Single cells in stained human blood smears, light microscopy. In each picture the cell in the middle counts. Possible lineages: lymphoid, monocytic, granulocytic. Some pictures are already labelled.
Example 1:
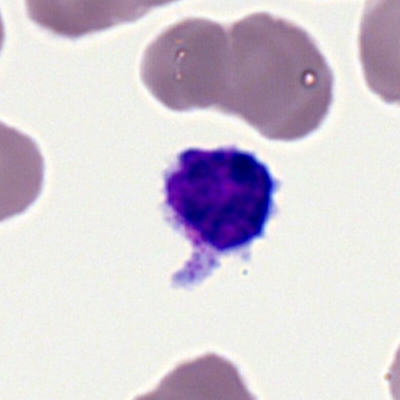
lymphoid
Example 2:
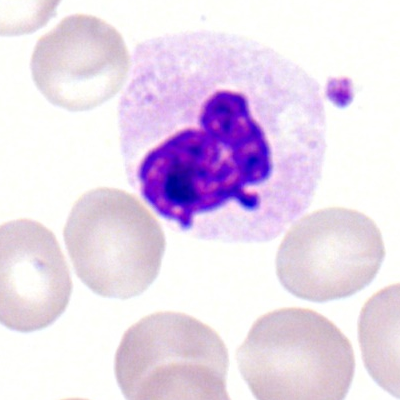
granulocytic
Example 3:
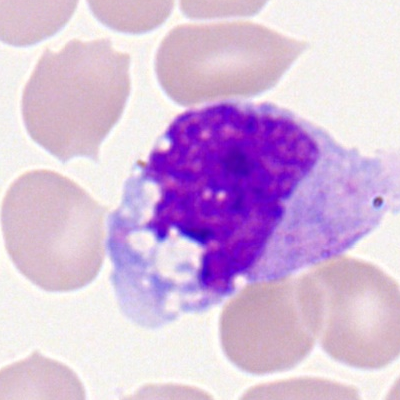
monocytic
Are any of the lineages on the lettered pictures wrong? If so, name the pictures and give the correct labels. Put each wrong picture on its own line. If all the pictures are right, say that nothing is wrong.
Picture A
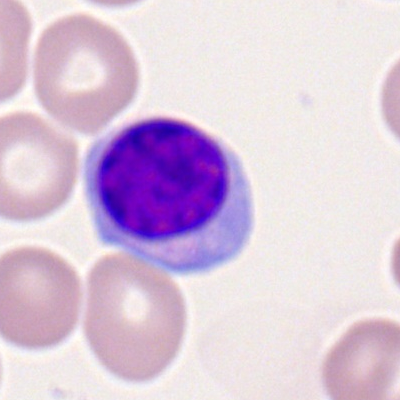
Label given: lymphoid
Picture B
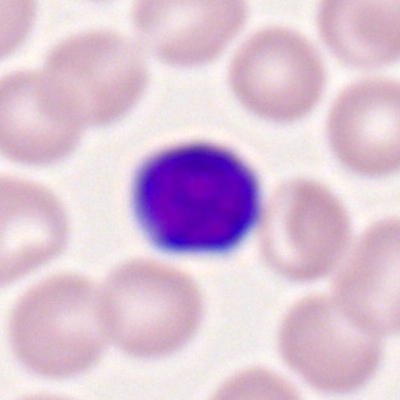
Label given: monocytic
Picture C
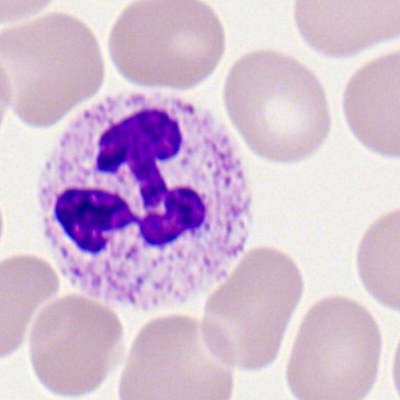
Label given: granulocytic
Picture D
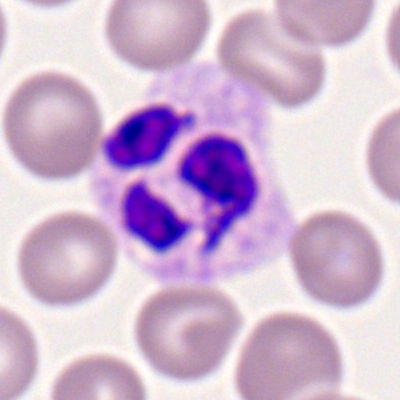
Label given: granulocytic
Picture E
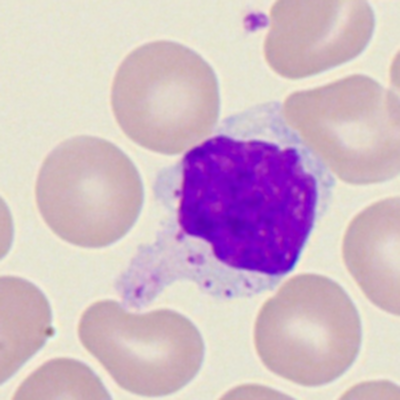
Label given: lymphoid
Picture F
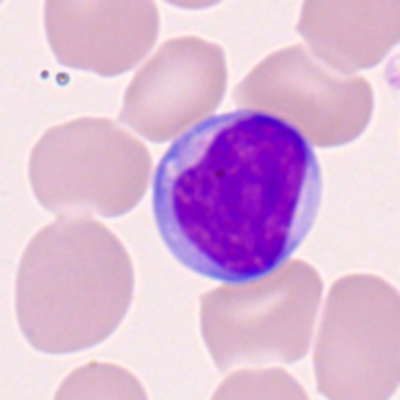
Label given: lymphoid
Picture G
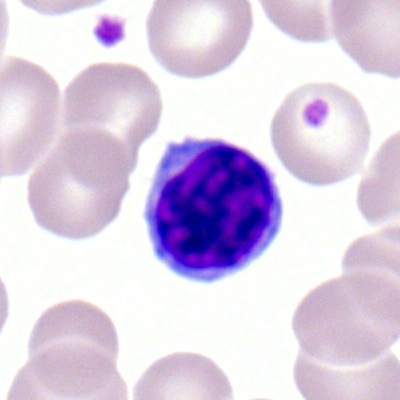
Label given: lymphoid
B is labelled monocytic; correct label: lymphoid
